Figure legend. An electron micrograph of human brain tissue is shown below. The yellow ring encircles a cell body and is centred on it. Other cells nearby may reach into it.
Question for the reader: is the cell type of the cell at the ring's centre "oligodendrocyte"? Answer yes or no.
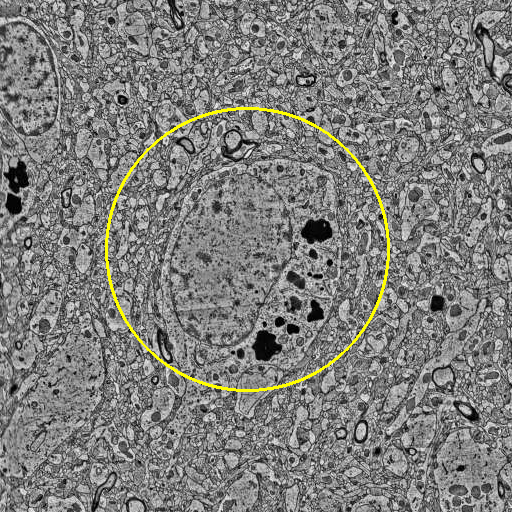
no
